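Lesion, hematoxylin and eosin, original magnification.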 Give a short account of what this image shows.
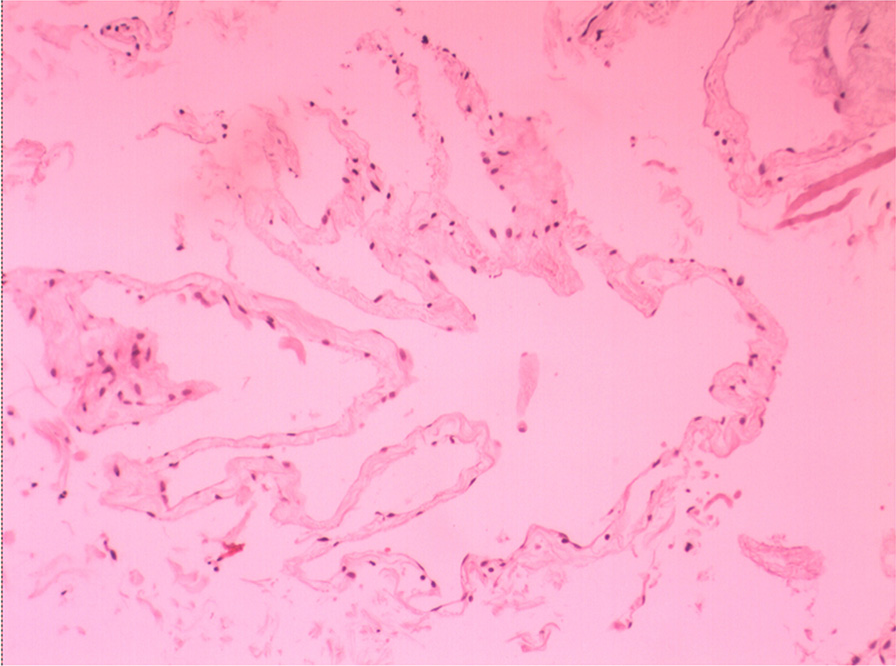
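Cystic wall-like tissue is made of thin, wavy, pale pink fibrous bands that fold around large empty spaces. Small dark oval to spindle-shaped nuclei are scattered singly along the walls, some flattened along their edges. At the left, one area of loose pink stroma holds more closely spaced nuclei.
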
